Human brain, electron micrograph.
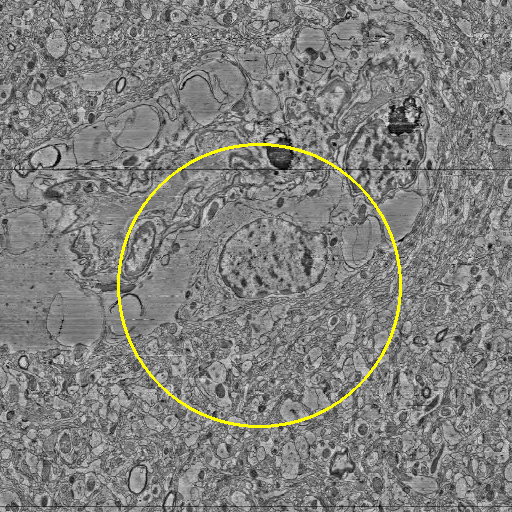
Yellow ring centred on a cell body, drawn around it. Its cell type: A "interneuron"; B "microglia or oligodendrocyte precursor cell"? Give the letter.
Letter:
B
